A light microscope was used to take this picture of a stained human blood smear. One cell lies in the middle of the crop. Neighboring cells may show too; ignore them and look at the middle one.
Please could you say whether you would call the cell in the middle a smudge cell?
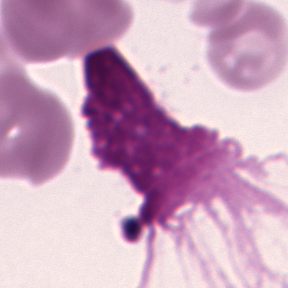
yes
